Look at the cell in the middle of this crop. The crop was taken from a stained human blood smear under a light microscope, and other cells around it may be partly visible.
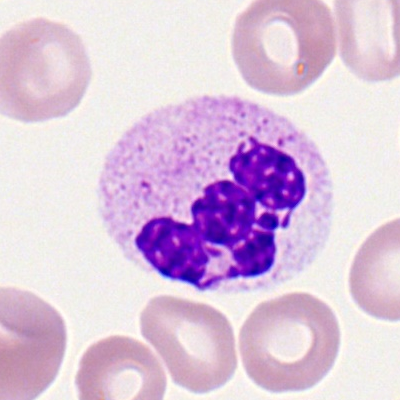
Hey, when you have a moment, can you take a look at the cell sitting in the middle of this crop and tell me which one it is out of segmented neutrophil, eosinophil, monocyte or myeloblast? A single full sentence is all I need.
The cell sitting right in the middle is a segmented neutrophil.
